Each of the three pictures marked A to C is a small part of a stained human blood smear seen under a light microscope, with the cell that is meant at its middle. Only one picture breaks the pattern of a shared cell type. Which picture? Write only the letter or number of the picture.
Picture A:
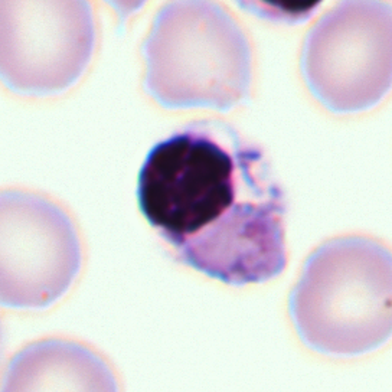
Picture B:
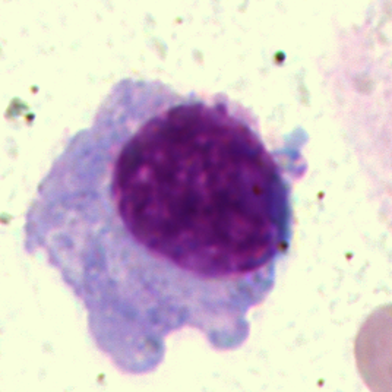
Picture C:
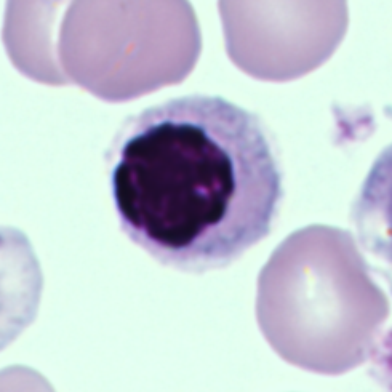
B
